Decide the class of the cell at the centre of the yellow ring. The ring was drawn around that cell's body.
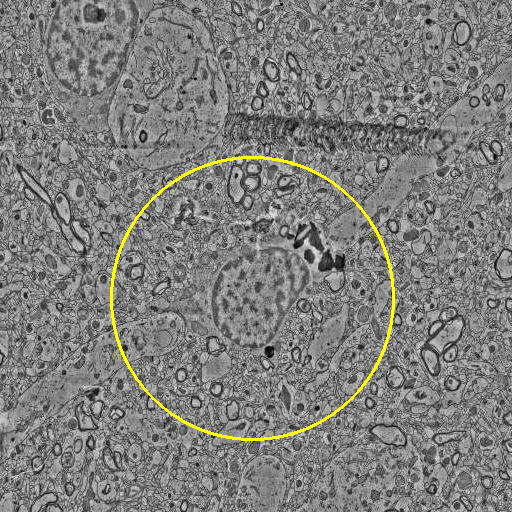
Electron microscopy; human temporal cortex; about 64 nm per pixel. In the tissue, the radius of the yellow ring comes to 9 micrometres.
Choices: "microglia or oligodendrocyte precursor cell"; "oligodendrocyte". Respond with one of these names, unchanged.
oligodendrocyte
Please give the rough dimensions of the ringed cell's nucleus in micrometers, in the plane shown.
About 7 by 5 micrometers, in this plane.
